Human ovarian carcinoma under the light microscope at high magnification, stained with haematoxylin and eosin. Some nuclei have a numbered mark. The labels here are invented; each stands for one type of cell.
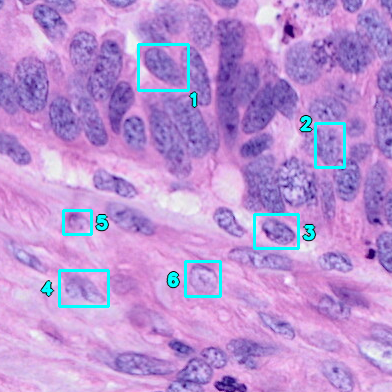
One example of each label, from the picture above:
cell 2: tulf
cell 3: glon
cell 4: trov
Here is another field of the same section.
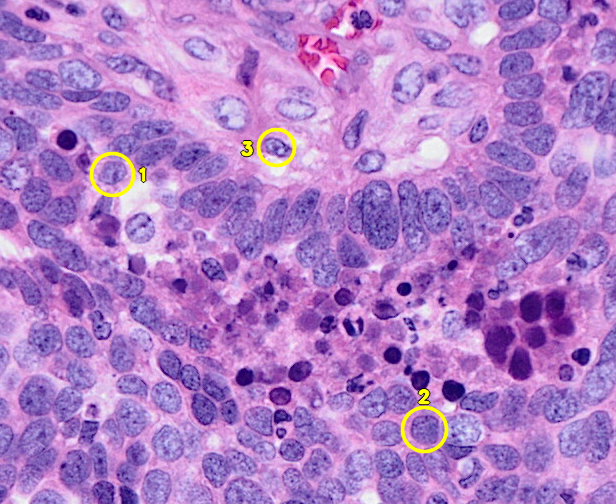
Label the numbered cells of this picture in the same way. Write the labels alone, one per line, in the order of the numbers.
glon
tulf
trov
